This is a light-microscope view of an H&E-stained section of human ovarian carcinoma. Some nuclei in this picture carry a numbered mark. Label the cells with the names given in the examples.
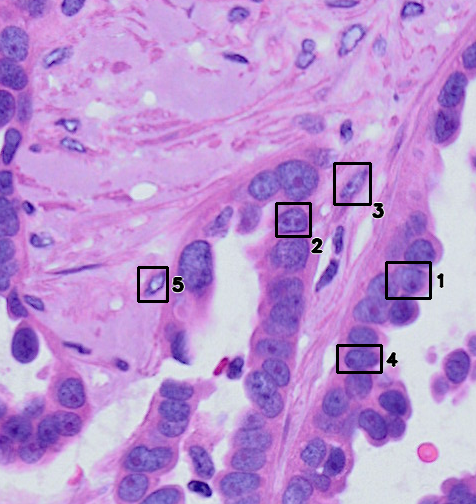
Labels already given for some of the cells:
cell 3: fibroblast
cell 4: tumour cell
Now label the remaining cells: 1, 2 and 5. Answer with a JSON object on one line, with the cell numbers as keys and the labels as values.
{"1": "tumour cell", "2": "tumour cell", "5": "fibroblast"}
